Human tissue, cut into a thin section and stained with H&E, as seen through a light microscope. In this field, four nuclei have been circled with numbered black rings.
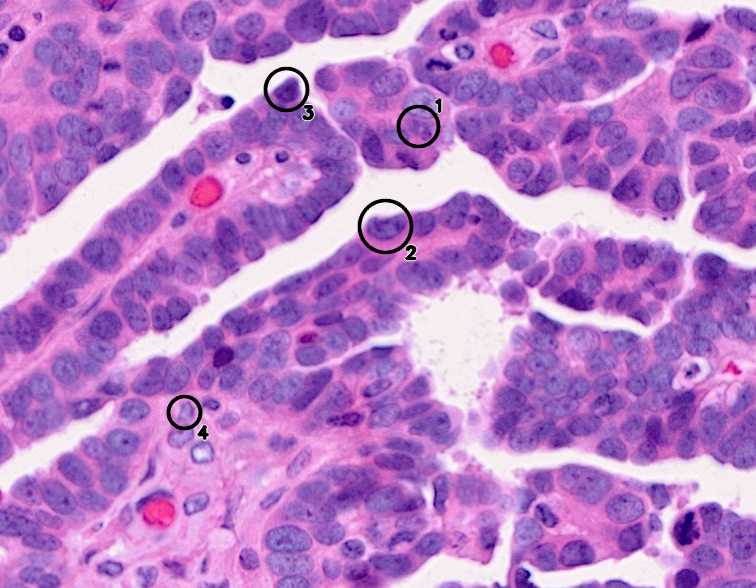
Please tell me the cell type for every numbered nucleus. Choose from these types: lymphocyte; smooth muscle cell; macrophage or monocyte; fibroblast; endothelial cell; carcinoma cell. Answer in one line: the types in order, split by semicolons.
carcinoma cell; carcinoma cell; carcinoma cell; fibroblast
